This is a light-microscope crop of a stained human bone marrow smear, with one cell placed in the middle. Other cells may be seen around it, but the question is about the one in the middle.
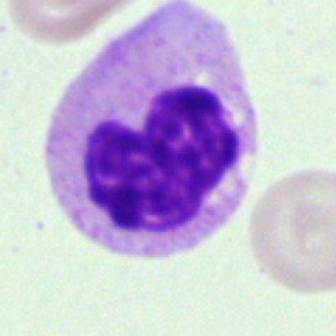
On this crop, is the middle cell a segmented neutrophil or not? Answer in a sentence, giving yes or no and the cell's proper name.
Yes, centred in the crop is a segmented neutrophil.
